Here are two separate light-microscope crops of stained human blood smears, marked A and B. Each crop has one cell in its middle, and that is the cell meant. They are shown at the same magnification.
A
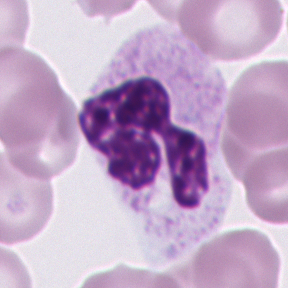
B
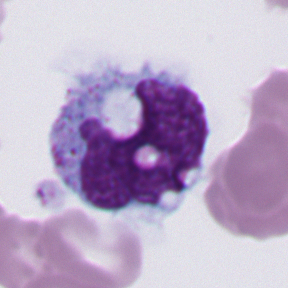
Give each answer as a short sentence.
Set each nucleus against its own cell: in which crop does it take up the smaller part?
The nucleus fills less of the cell in picture A than in picture B.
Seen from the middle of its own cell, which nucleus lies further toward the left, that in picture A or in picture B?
It is the nucleus in picture A that lies further toward the left of its cell.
